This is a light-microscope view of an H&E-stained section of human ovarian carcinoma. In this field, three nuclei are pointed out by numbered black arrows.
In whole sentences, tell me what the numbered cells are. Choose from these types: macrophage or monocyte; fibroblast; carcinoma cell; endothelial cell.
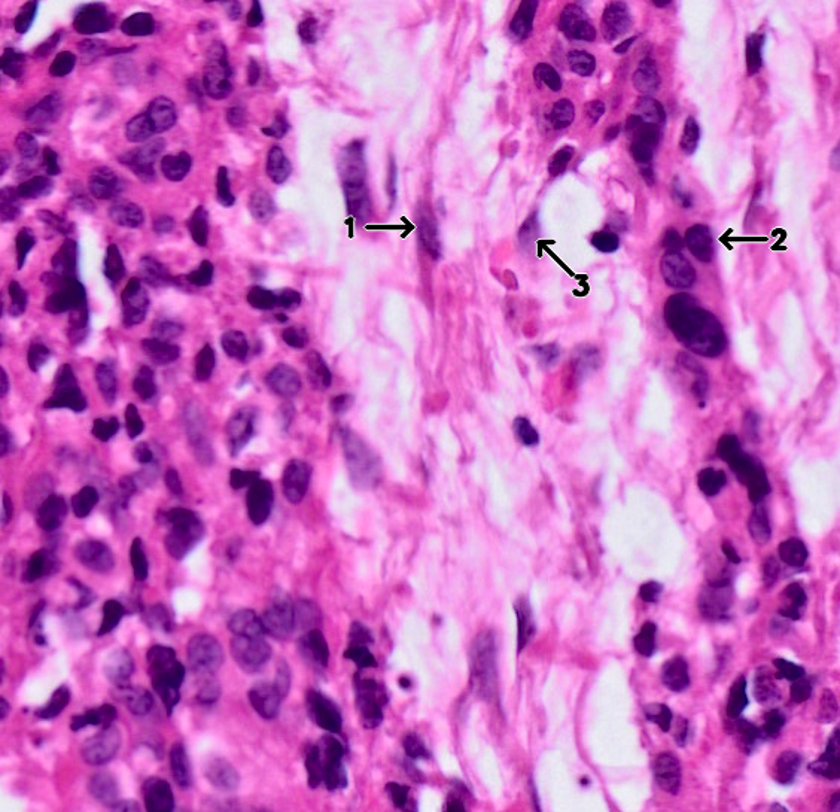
Cell 1 is a fibroblast, cell 2 is a carcinoma cell and cell 3 is a fibroblast.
